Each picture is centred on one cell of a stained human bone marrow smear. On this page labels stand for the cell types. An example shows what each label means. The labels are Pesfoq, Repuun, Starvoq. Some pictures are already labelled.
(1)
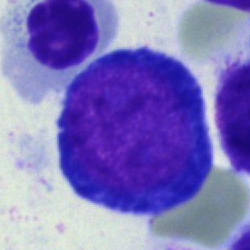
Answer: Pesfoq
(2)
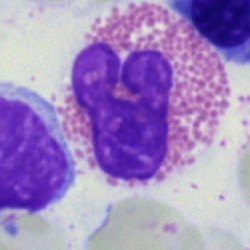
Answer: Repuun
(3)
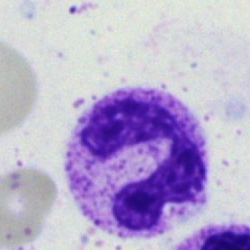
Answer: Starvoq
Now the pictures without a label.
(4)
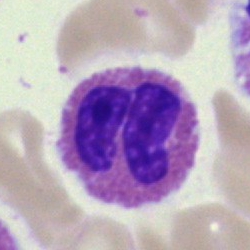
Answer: Repuun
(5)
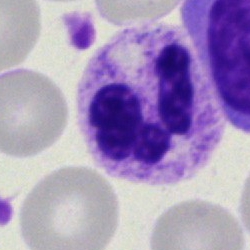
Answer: Starvoq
